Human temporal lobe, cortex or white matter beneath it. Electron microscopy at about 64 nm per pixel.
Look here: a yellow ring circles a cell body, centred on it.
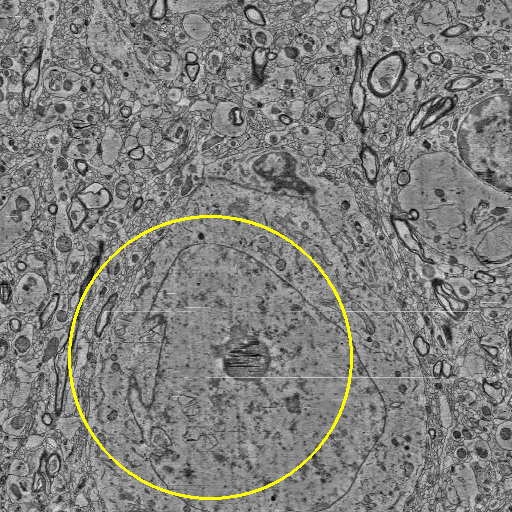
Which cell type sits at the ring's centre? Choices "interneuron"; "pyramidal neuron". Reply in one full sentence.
The cell at the centre of the yellow ring in the picture is a pyramidal neuron.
